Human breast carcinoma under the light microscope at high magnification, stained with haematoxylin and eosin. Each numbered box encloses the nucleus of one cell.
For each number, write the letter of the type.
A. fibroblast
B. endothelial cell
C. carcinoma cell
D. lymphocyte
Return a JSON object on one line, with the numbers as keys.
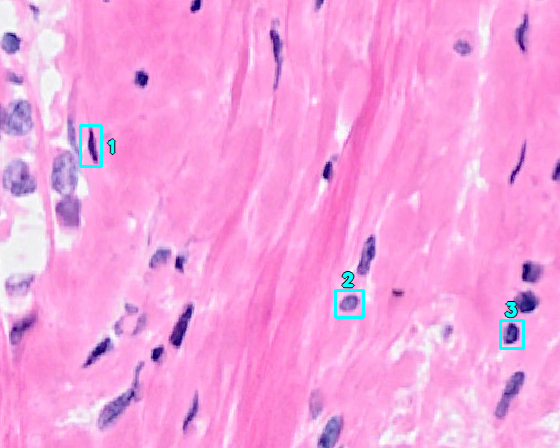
{"1": "A", "2": "D", "3": "D"}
